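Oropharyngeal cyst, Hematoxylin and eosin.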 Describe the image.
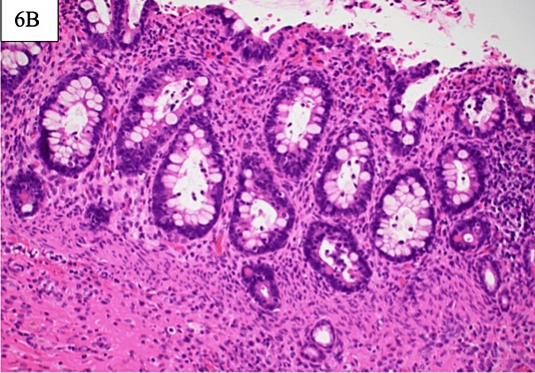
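This is colonic-type mucosa with crypts cut mostly across, each lined by a single layer of epithelium full of goblet cells. The goblet cells have large clear or pale cytoplasm holding mucin, with dark nuclei pressed to the base of the lining, so each crypt looks like a ring of pale bubbles around a central lumen. The crypts sit in a lamina propria crowded with small dark round inflammatory cells. Toward the bottom of the field the stroma turns pinker and more fibrous, with spindle nuclei, and the mucosal surface runs along the top.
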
